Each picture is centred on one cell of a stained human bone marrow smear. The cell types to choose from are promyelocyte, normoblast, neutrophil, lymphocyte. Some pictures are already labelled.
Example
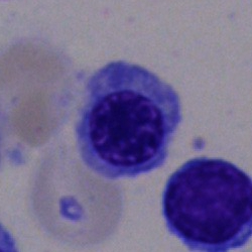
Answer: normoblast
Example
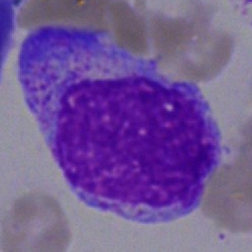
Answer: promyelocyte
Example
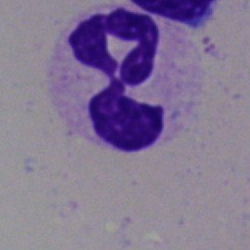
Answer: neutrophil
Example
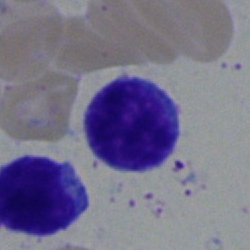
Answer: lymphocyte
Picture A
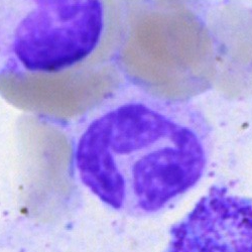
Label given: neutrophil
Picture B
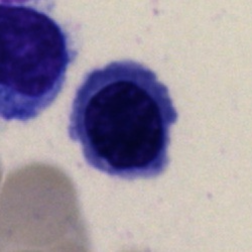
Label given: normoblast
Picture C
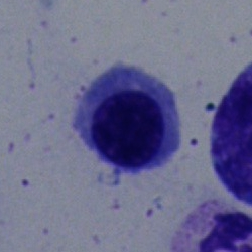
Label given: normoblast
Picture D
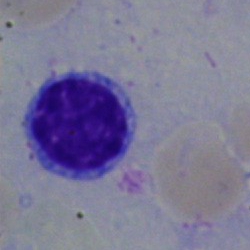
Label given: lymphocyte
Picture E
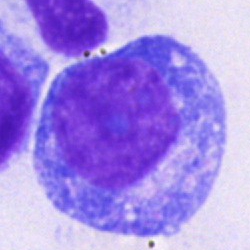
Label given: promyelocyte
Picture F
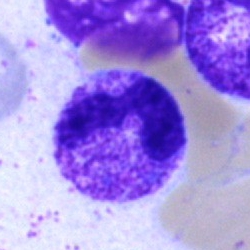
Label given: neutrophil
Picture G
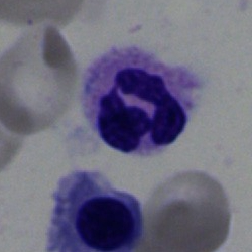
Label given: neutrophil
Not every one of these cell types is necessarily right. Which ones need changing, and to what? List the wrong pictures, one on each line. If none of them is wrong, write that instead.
All correct.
